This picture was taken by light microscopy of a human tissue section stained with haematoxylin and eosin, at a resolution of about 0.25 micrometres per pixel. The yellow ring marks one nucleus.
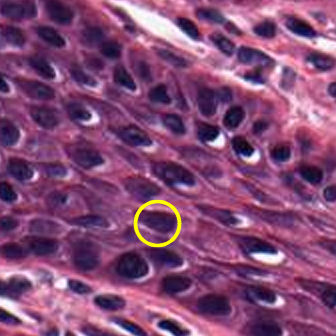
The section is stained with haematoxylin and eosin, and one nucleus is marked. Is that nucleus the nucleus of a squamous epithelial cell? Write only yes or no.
yes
